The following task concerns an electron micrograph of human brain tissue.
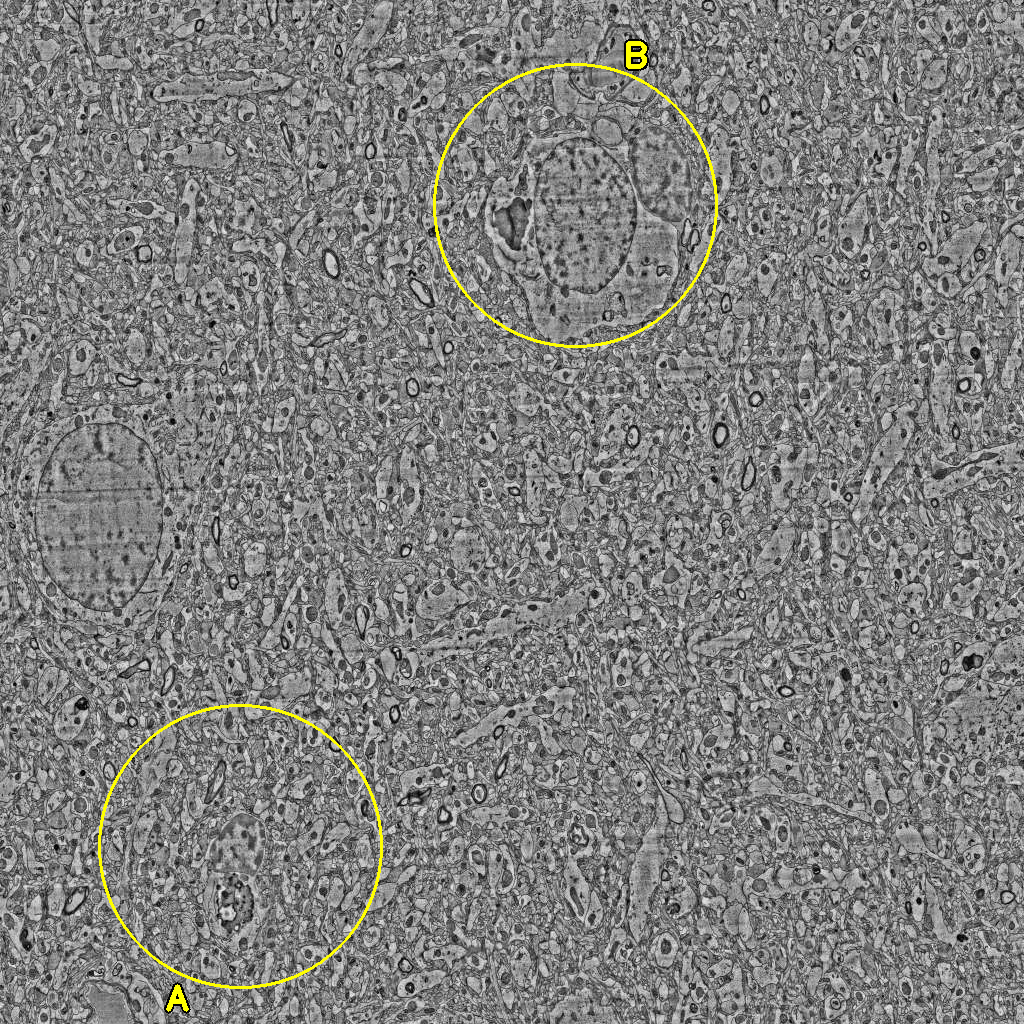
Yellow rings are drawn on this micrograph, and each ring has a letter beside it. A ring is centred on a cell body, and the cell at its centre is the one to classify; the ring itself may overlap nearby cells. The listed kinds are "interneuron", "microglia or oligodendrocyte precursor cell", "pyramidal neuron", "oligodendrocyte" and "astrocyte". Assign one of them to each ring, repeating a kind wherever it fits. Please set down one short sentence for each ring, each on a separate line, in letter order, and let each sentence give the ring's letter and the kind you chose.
The cell ringed as A is a microglial cell or oligodendrocyte precursor cell.
The cell ringed as B is an astrocyte.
